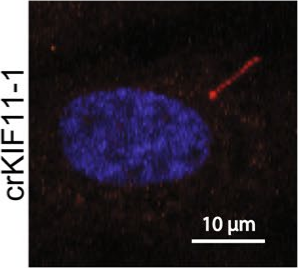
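A single cultured cell is shown with its oval blue nucleus, whose chromatin has a finely mottled texture. Beside the nucleus a thin, straight red rod extends outward, a primary cilium several micrometres long. Apart from this rod the cytoplasm shows only faint background, with no other bright structures.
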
